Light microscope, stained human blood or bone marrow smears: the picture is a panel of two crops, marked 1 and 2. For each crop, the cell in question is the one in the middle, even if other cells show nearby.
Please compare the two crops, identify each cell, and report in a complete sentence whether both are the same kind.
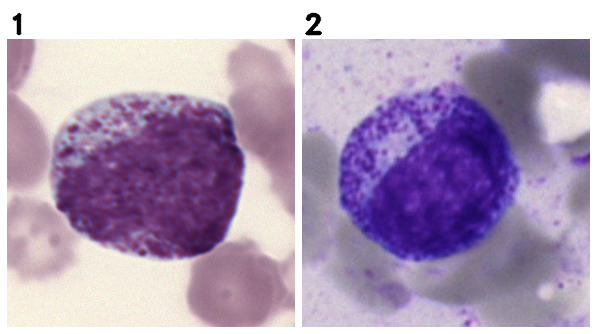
Yes, the two crops show myelocytes, both of them.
